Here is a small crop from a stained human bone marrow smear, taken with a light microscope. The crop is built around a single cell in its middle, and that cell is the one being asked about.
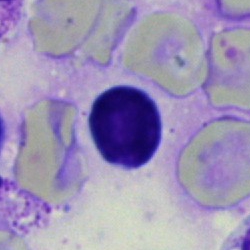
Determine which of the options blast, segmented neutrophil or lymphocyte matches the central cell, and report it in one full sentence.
In this crop, the cell at the very middle is a lymphocyte.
